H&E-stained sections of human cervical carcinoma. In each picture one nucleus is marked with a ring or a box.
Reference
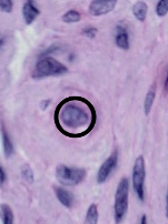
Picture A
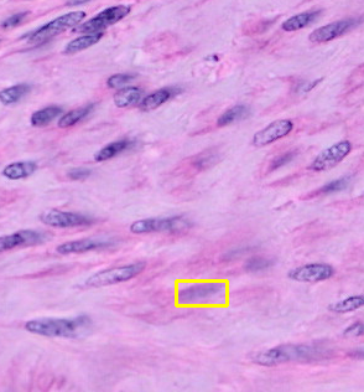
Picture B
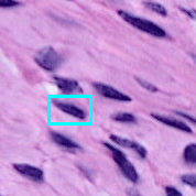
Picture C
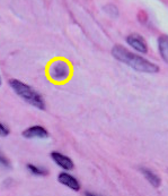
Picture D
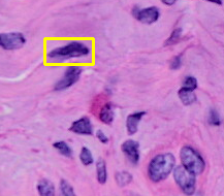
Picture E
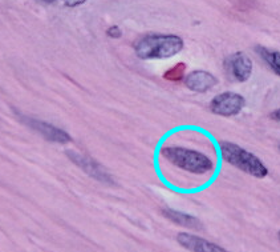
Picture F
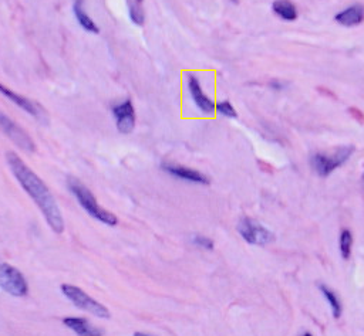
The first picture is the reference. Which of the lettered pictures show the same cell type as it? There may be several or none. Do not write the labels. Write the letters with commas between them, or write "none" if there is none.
none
